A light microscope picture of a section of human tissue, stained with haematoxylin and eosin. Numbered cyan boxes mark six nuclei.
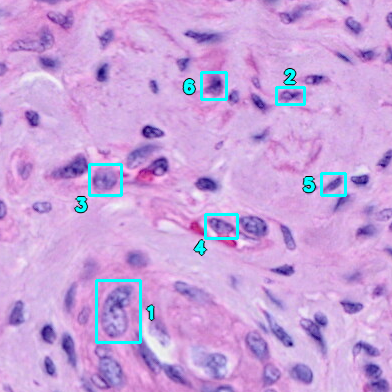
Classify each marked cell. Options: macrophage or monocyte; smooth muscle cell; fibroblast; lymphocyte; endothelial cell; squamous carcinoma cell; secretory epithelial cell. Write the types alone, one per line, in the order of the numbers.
smooth muscle cell
smooth muscle cell
endothelial cell
endothelial cell
fibroblast
smooth muscle cell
